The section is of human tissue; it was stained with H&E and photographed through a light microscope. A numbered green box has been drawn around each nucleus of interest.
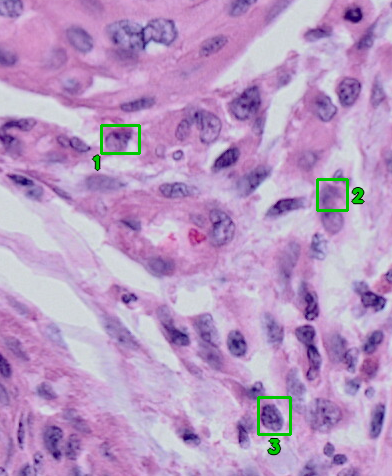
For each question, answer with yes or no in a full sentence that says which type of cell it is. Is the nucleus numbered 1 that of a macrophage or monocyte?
Yes, among the marked cells, the one with number 1 is a macrophage or monocyte.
